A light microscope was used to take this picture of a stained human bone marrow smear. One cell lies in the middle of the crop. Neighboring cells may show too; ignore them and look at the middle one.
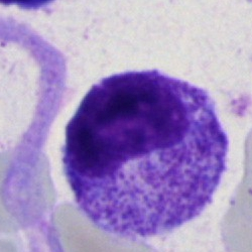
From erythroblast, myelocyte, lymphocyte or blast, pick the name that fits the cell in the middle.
myelocyte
